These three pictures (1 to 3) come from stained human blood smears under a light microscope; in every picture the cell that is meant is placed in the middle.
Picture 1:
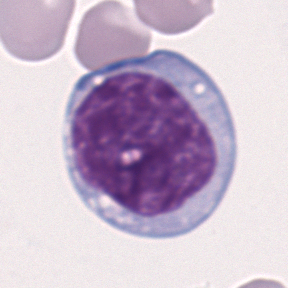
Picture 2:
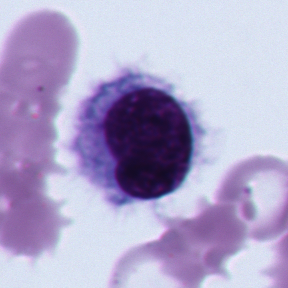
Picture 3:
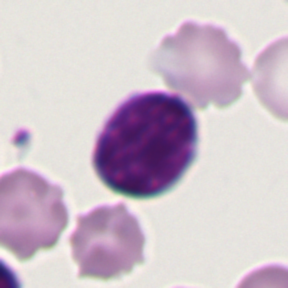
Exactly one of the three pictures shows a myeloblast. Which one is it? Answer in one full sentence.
It is picture 1 that shows the myeloblast.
